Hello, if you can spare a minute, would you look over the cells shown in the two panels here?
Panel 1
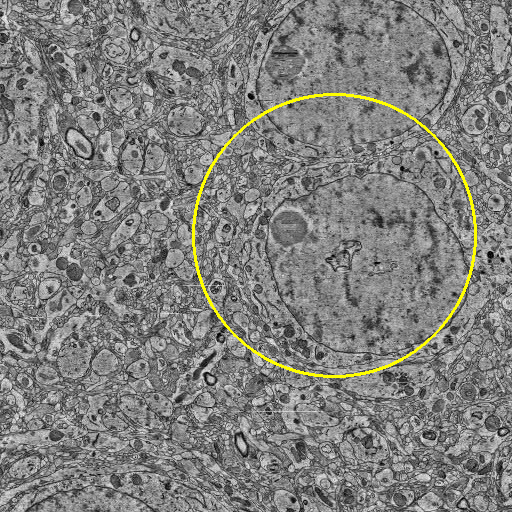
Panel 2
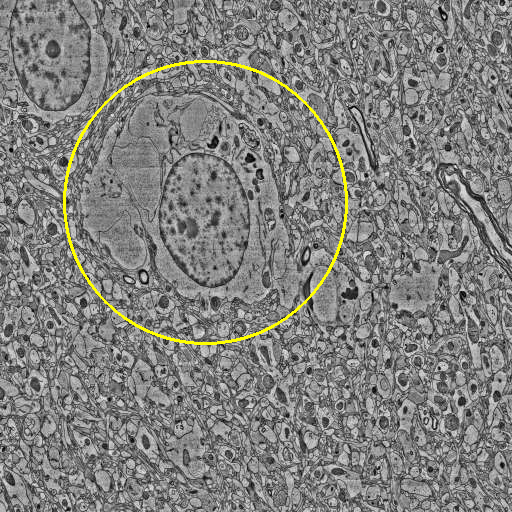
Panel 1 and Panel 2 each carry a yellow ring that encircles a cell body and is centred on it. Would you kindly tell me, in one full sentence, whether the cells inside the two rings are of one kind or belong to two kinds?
The cells at the centres of the rings in Panel 1 and Panel 2 belong to two kinds.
